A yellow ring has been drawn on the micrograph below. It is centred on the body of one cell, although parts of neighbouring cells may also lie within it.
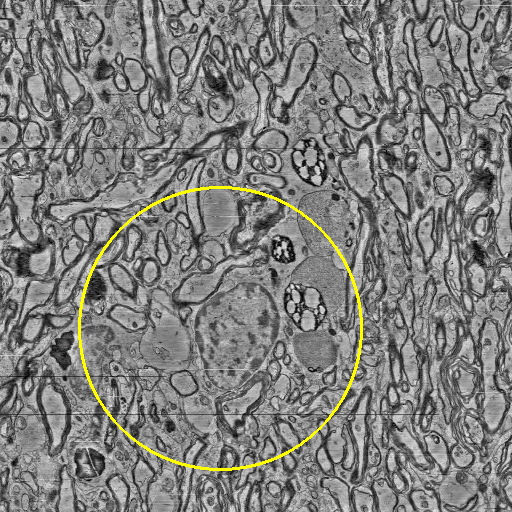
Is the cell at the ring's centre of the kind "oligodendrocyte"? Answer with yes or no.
no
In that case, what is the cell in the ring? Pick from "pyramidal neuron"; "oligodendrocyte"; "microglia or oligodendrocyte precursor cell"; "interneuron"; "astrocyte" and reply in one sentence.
The cell this ring marks is a microglial cell or oligodendrocyte precursor cell.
